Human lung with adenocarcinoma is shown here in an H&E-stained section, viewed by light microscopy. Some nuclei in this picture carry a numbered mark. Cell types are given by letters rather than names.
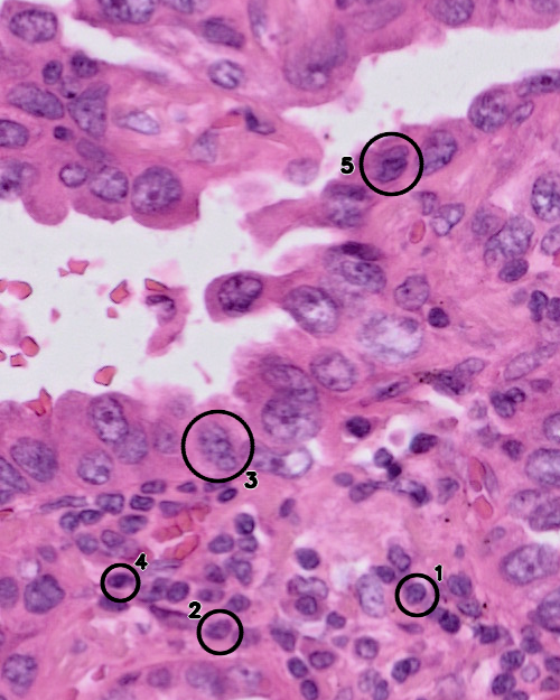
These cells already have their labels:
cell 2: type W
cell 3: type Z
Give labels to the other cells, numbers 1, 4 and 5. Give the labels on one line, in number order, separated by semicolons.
type W; type W; type Z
